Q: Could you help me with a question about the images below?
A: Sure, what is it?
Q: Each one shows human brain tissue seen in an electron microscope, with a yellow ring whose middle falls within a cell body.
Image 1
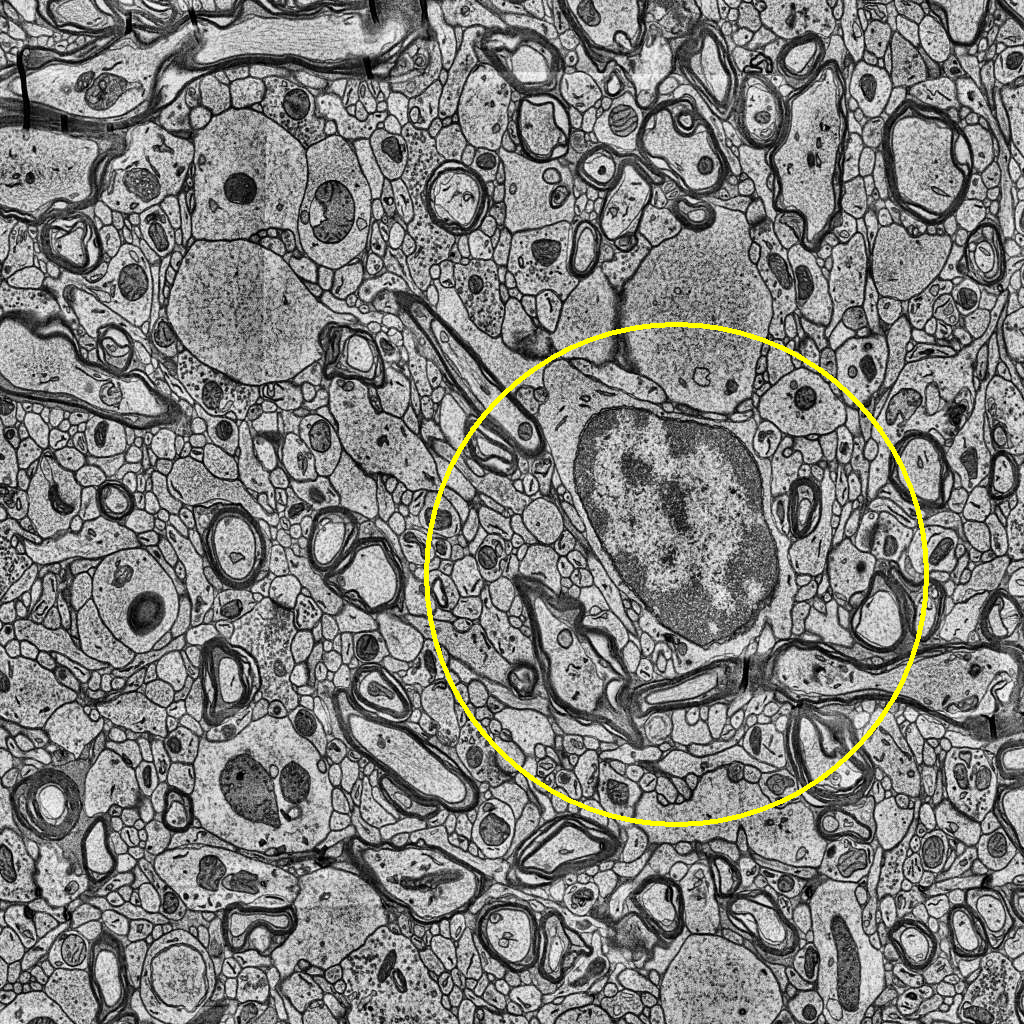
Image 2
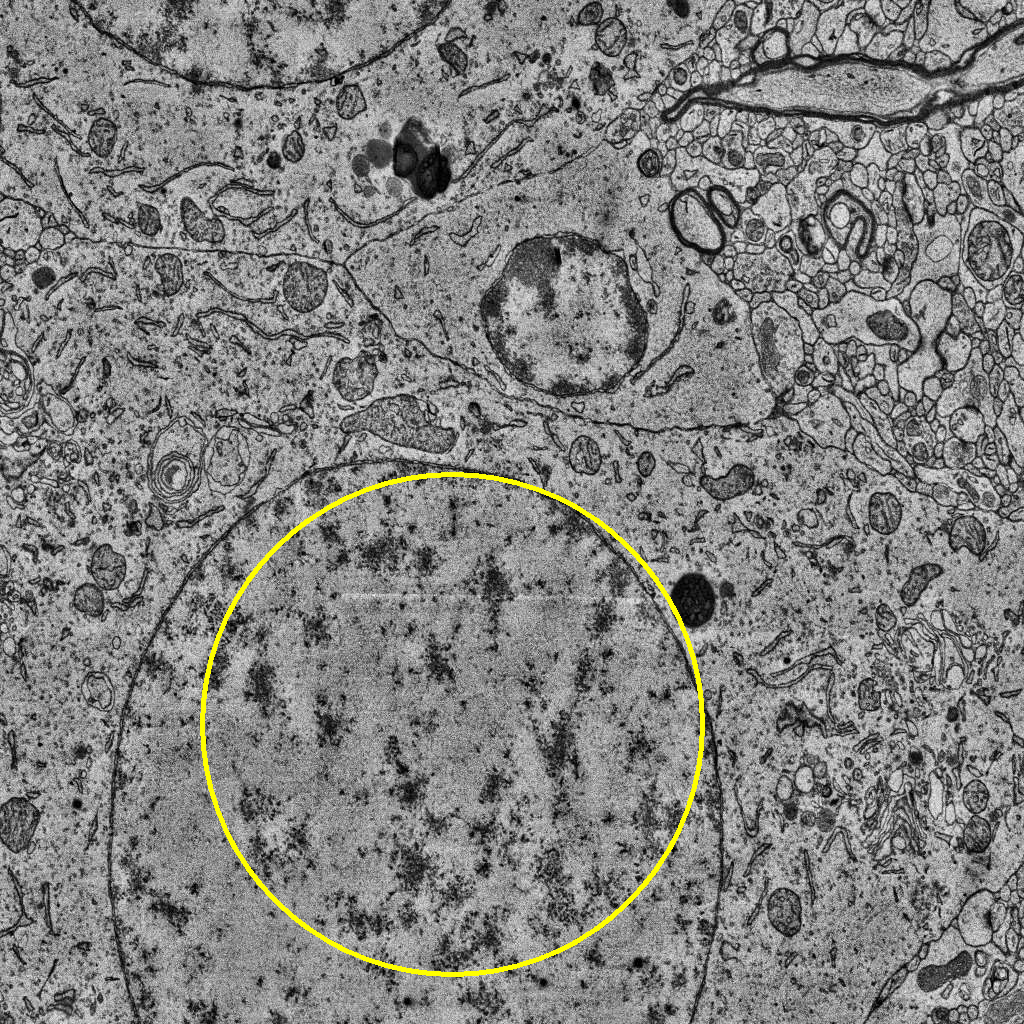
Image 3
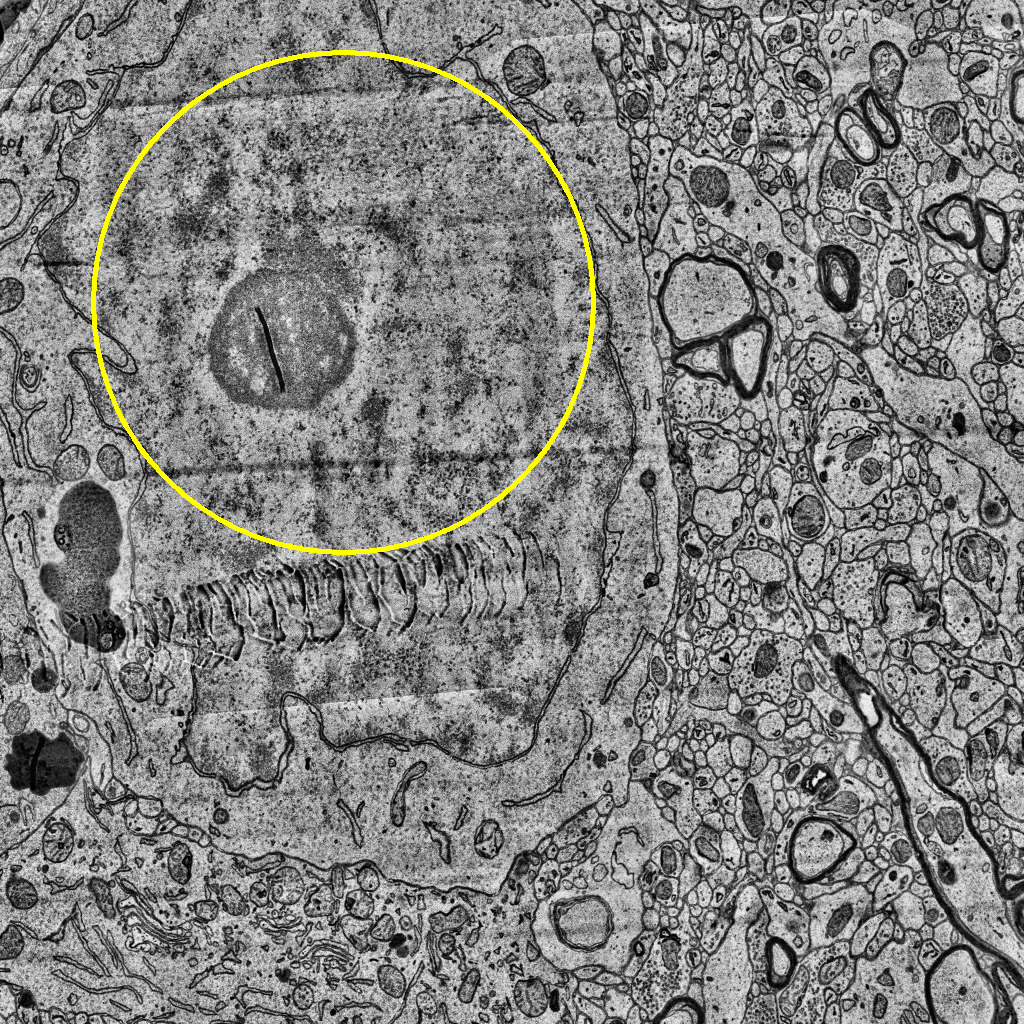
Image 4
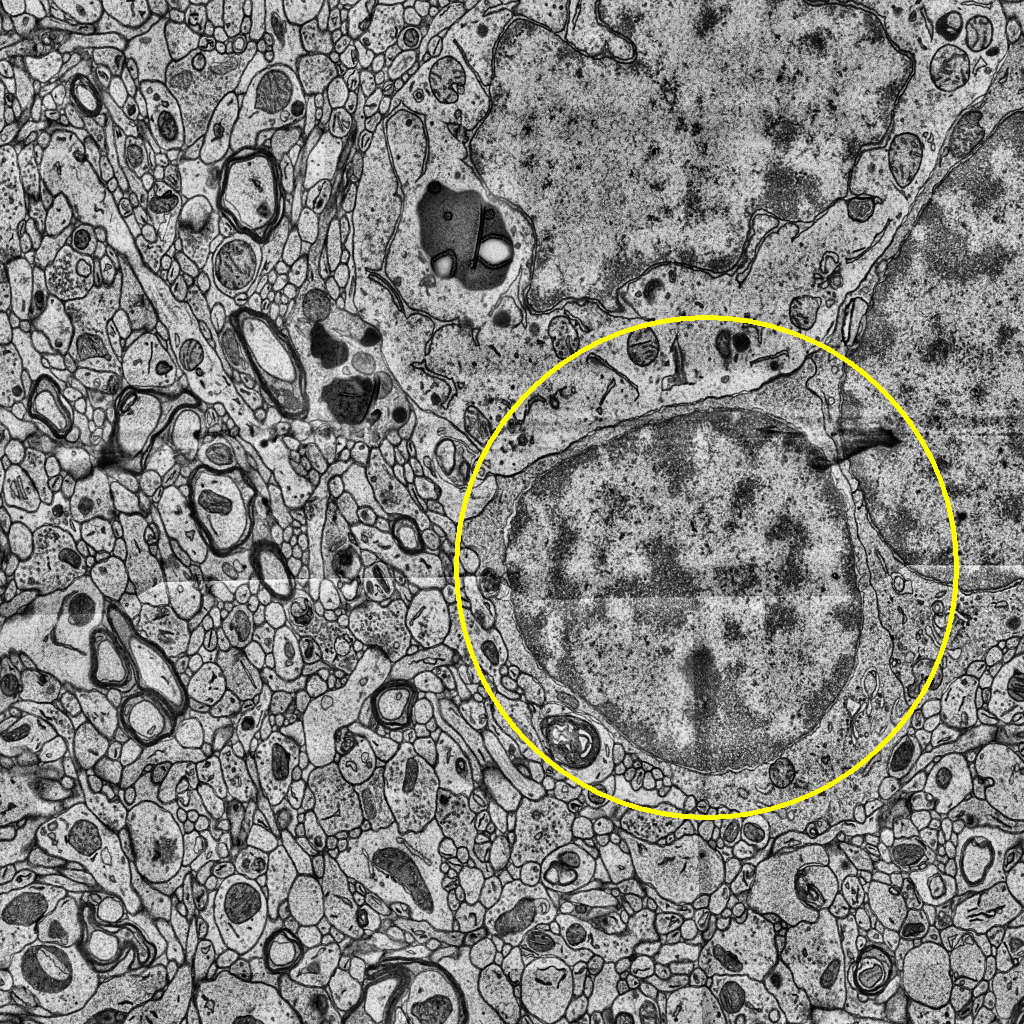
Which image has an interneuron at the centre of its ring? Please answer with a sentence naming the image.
Image 3 has it at the centre of its ring.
